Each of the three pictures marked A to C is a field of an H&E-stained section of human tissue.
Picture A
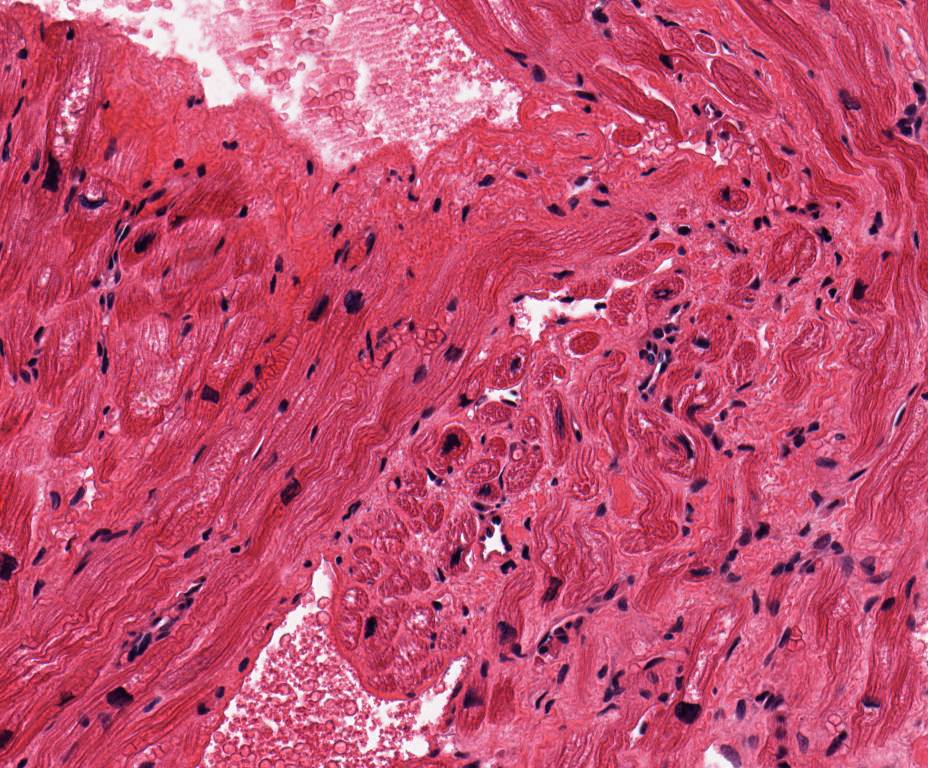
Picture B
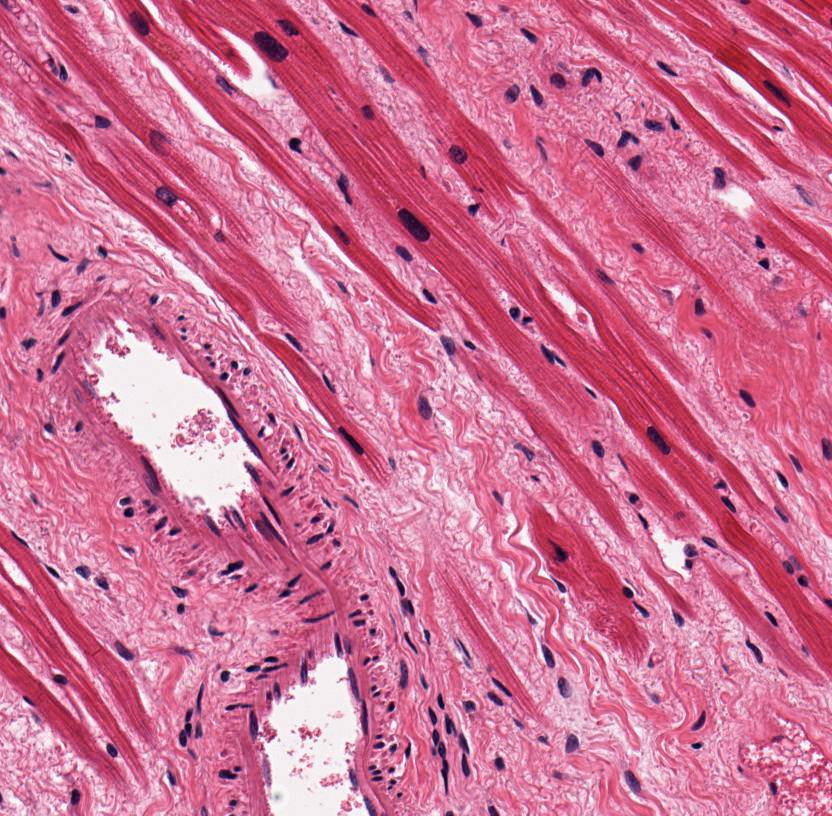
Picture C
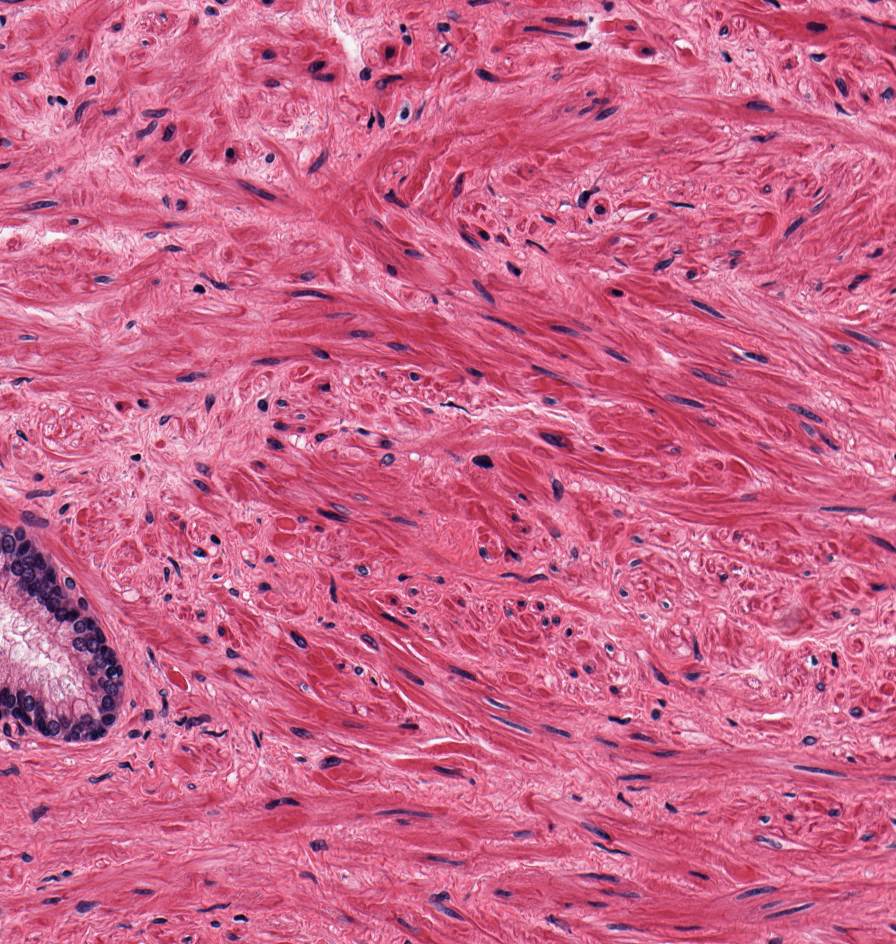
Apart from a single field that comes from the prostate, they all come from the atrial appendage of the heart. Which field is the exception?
C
